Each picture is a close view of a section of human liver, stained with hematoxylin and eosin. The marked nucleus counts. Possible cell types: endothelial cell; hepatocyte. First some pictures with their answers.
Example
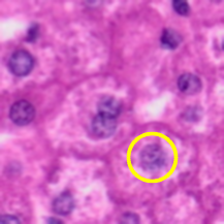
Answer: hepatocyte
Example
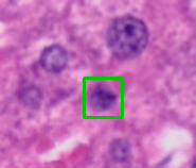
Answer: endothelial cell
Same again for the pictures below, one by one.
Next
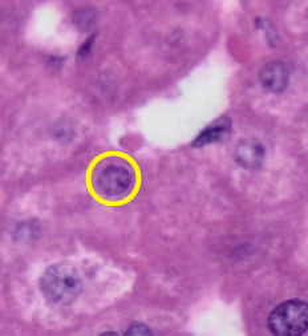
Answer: hepatocyte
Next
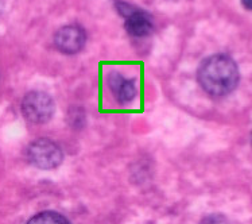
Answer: endothelial cell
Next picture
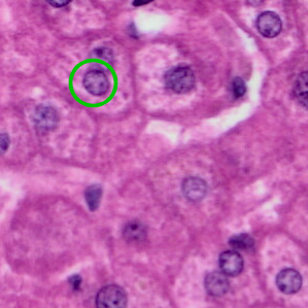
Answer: hepatocyte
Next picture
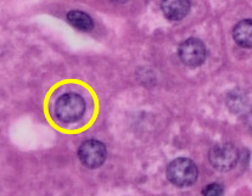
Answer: hepatocyte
